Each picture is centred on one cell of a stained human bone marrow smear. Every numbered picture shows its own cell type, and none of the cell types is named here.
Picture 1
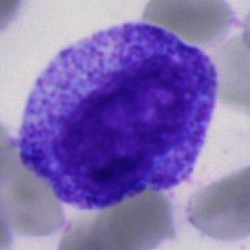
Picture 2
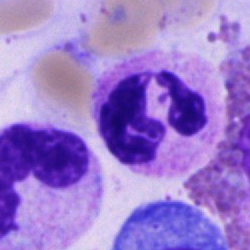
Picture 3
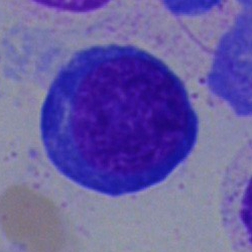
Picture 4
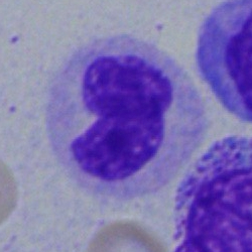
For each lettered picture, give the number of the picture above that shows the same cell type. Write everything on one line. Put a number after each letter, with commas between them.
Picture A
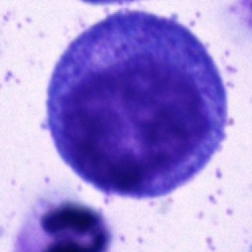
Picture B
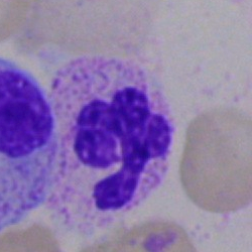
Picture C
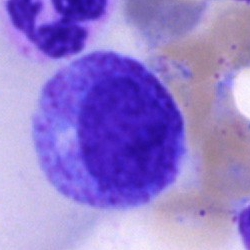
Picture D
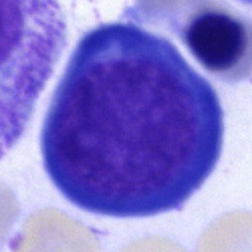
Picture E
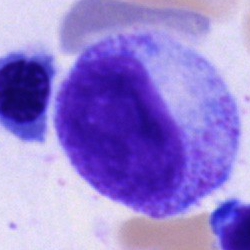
A 1, B 2, C 1, D 3, E 1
